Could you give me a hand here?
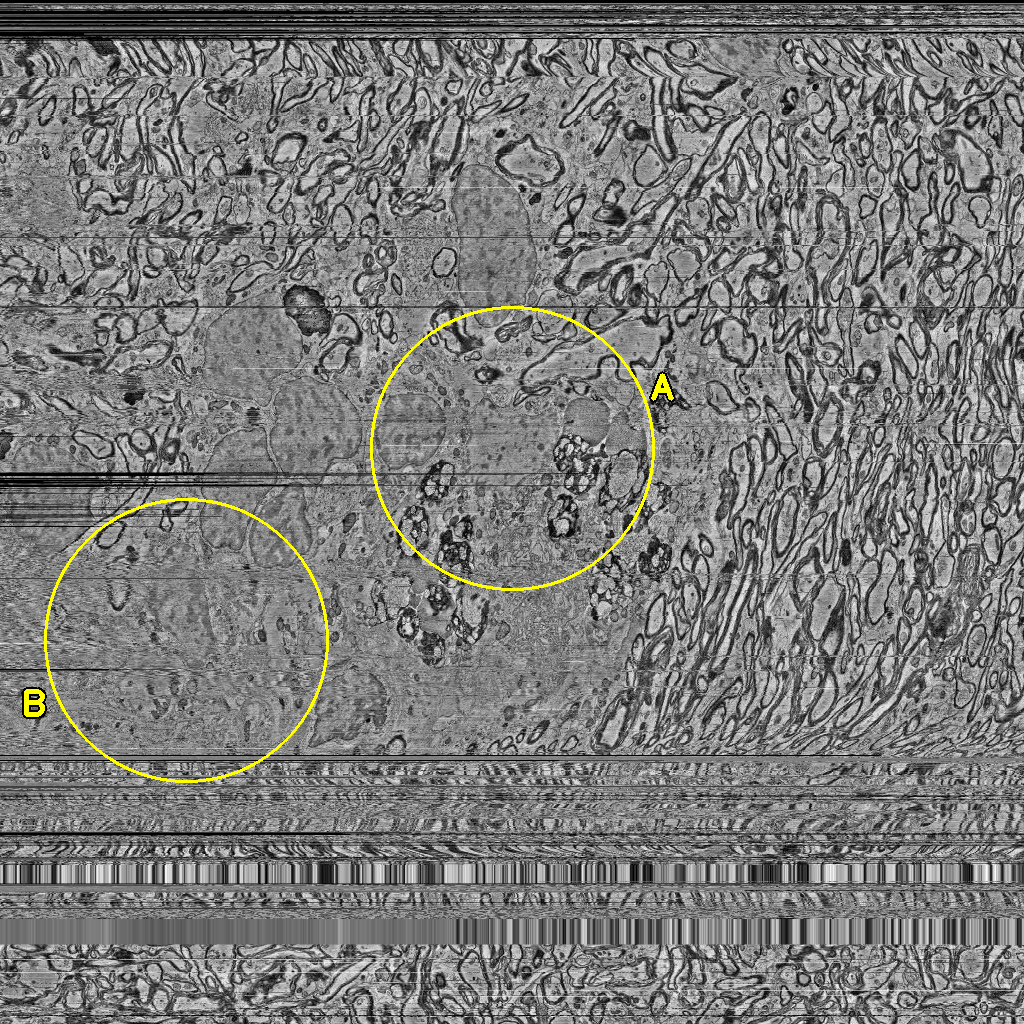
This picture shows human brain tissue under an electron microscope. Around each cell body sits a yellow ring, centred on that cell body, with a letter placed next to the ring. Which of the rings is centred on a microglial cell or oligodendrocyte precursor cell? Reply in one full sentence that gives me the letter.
The cell asked for sits at the centre of ring B in the picture.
